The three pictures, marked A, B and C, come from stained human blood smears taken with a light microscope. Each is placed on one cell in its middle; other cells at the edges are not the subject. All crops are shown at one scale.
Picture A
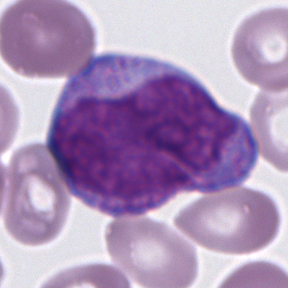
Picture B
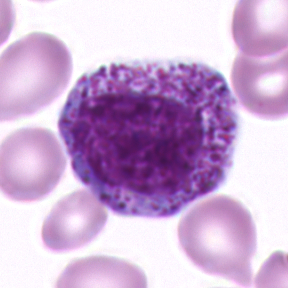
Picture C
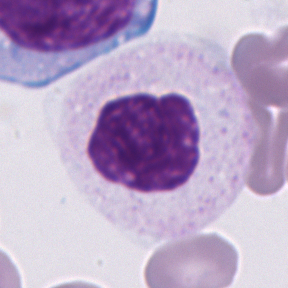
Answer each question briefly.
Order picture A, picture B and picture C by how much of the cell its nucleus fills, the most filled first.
A, B, C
